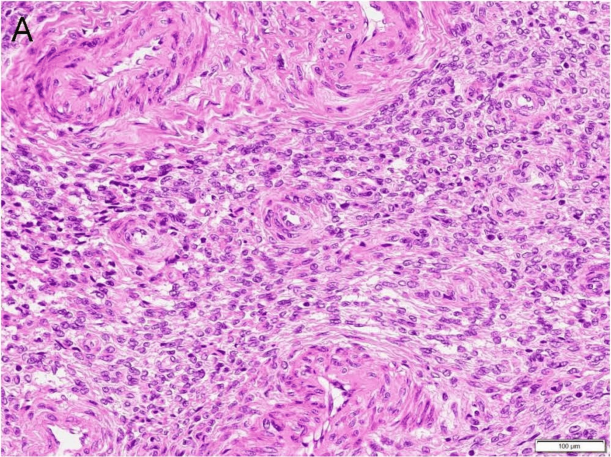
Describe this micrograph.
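Neoplastic cells resembling endometrial stroma fill the field in dense sheets between numerous small vessels whose walls form concentric pink cuffs. The cells have uniform oval to spindle-shaped dark nuclei with little pale cytoplasm and swirl around the vessels without marked variation in nuclear size.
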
